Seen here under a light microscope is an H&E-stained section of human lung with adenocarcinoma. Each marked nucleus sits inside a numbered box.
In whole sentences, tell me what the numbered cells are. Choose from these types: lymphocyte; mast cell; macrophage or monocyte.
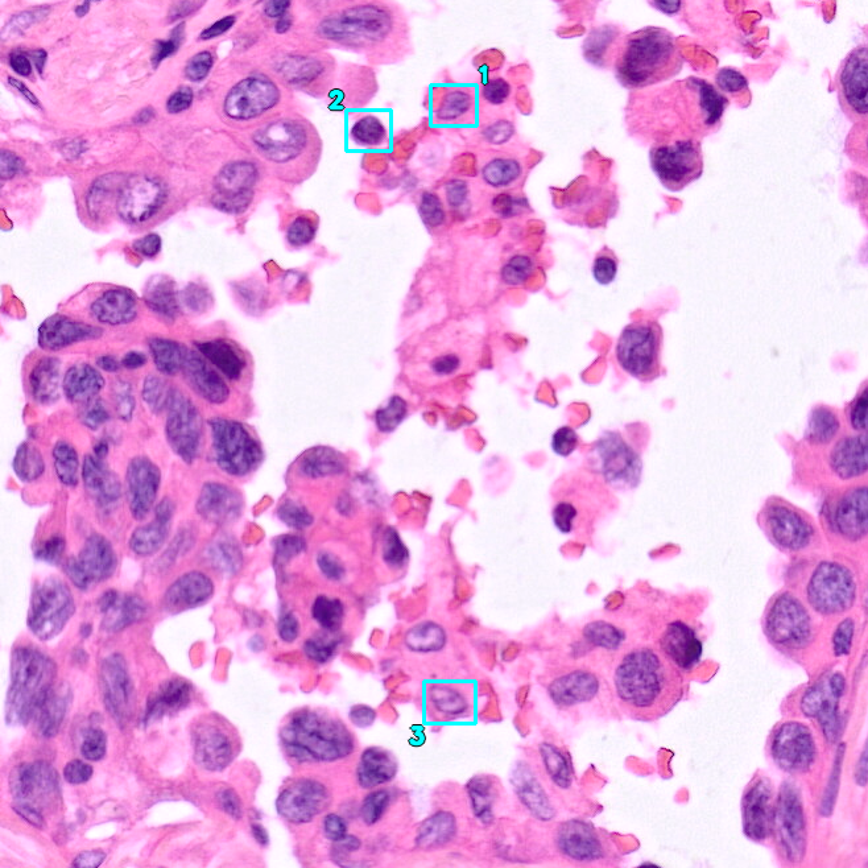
Cells 1 and 3 are macrophages or monocytes. Cell 2 is a lymphocyte.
